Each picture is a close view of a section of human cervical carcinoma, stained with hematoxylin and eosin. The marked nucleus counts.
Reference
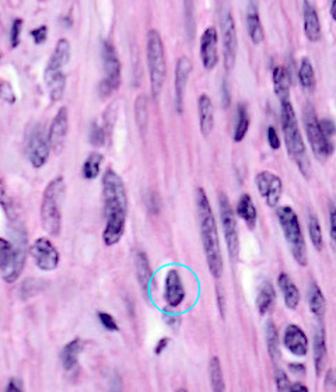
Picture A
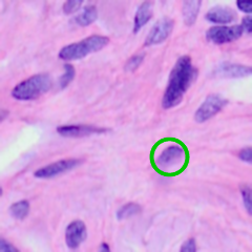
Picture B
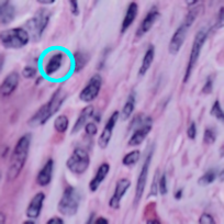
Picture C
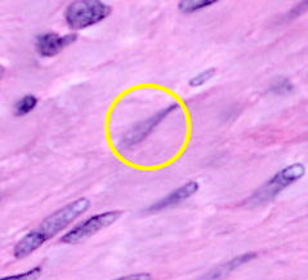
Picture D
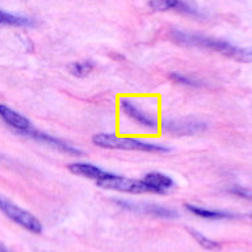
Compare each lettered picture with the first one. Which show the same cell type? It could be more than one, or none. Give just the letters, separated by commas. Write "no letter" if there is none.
B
